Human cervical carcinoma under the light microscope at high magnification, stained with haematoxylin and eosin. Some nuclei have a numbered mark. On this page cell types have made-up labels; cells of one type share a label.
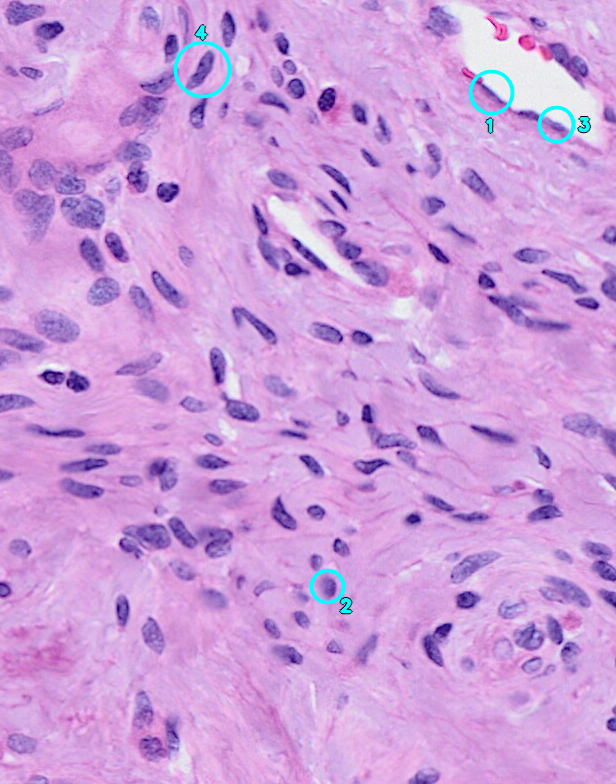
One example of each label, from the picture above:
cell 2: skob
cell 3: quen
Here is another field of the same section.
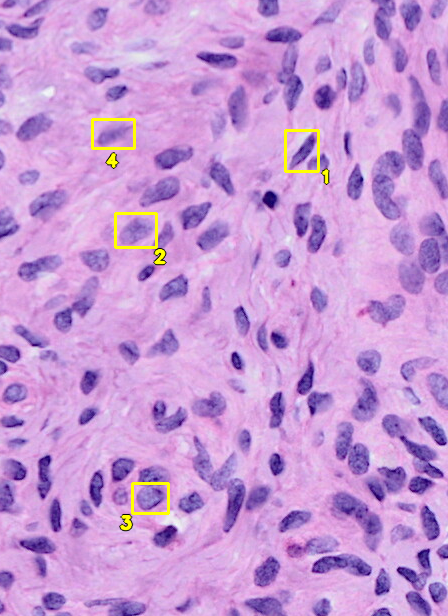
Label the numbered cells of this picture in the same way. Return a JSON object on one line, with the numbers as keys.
{"1": "skob", "2": "skob", "3": "quen", "4": "skob"}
